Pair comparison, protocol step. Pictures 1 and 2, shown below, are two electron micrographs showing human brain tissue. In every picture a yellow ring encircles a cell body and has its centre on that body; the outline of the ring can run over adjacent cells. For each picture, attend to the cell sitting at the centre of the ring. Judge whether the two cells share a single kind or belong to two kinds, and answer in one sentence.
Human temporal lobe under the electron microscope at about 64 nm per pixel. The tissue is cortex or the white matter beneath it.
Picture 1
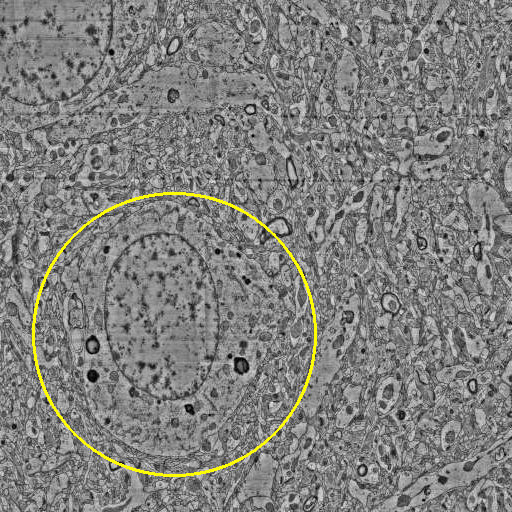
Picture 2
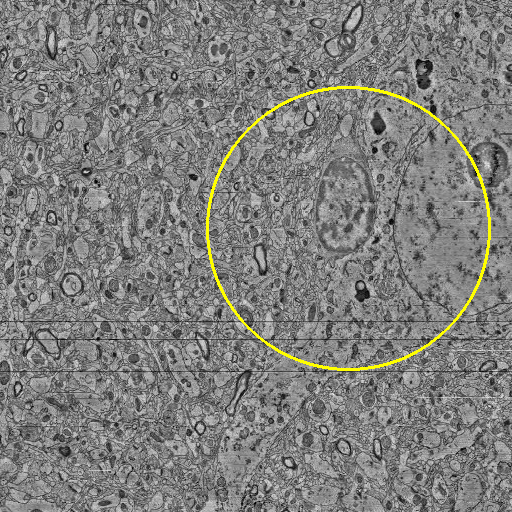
The two cells at the ring centres in Picture 1 and Picture 2 belong to two kinds.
